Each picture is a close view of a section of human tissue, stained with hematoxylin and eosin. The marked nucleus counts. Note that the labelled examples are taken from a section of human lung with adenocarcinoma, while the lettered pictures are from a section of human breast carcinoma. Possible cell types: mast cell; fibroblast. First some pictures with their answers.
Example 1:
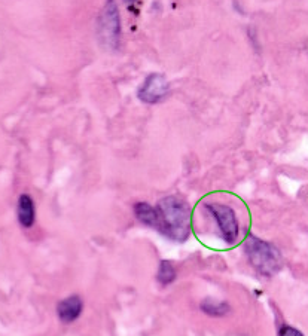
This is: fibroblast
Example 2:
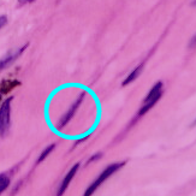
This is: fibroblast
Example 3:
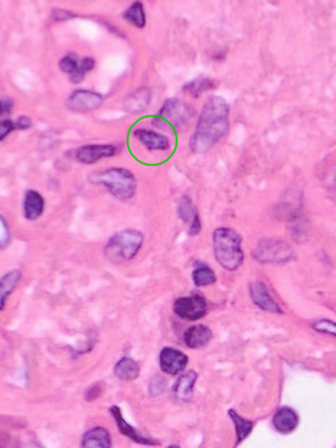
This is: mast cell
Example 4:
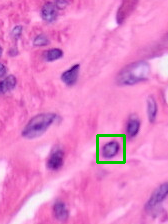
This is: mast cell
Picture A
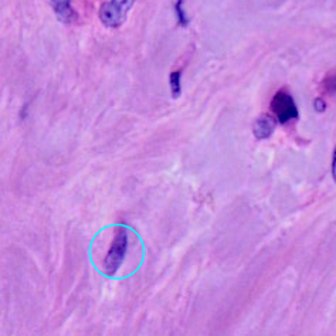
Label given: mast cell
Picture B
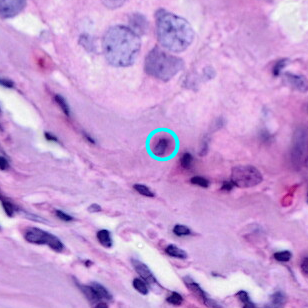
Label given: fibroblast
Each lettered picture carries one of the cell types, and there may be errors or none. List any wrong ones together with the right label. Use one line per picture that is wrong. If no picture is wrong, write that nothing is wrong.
A: not mast cell but fibroblast
B: not fibroblast but mast cell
